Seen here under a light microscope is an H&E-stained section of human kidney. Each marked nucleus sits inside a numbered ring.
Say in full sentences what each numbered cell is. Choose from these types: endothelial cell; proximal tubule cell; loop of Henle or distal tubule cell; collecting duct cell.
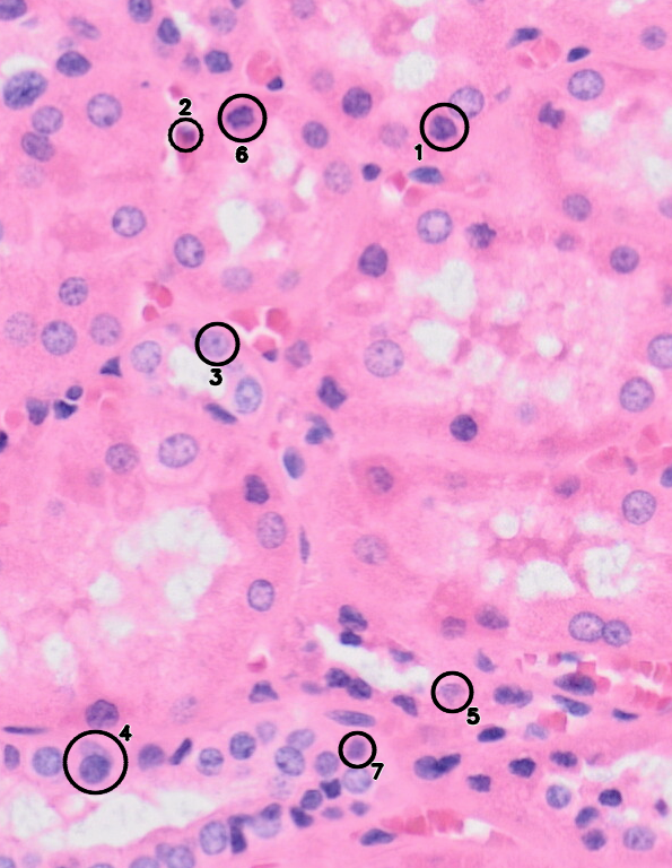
Cells 1 and 6 are proximal tubule cells. Cell 2 is an endothelial cell. Cells 3, 4 and 7 are collecting duct cells. Cell 5 is a loop of Henle or distal tubule cell.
